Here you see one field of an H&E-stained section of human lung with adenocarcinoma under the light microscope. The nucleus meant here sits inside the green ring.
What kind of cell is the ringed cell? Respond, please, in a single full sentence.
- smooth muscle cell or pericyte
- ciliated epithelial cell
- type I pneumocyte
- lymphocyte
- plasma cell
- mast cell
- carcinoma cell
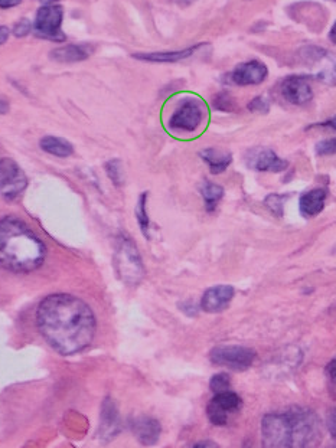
In this tissue section, the ringed cell is to be classed as a plasma cell.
